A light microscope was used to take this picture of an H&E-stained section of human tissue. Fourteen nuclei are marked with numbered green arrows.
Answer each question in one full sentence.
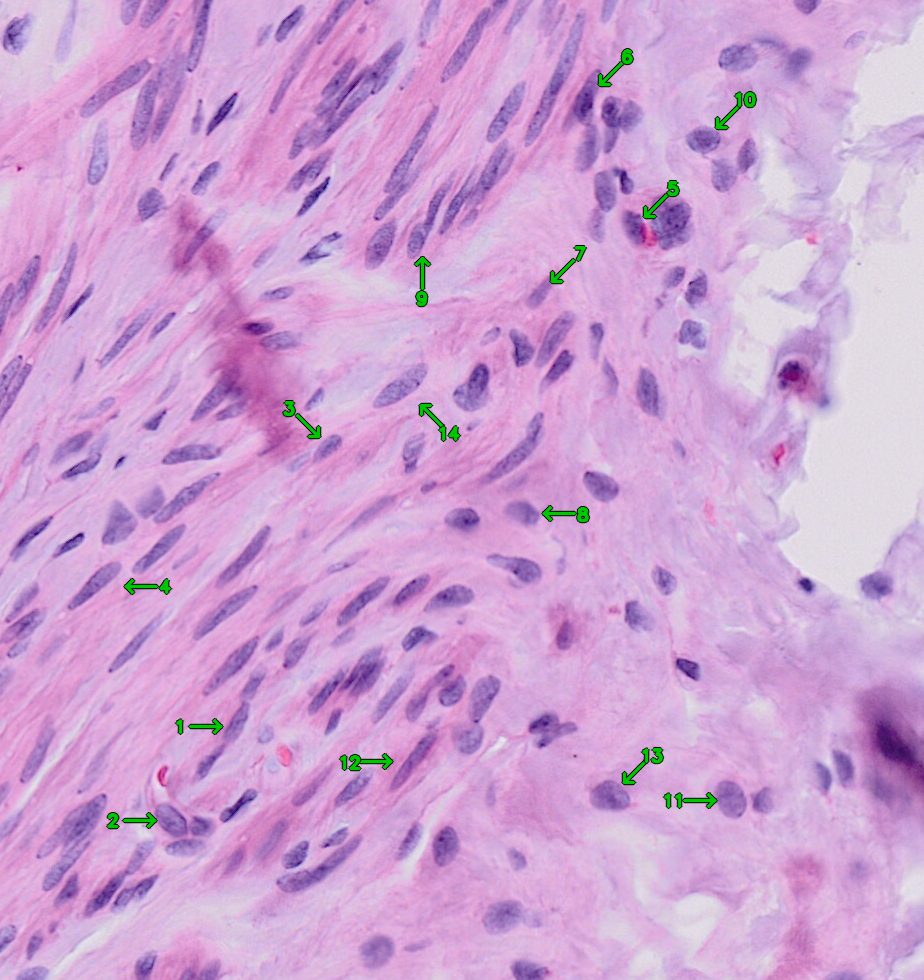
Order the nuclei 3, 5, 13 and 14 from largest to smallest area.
Going from the biggest nucleus down to the smallest gives 14, 13, 5, 3.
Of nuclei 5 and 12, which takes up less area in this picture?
Nucleus 5 is the smaller one; nucleus 12 covers about 1.5 times its area.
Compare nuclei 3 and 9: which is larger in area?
At about 1.5 times the area of nucleus 3, nucleus 9 is the larger of the two.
